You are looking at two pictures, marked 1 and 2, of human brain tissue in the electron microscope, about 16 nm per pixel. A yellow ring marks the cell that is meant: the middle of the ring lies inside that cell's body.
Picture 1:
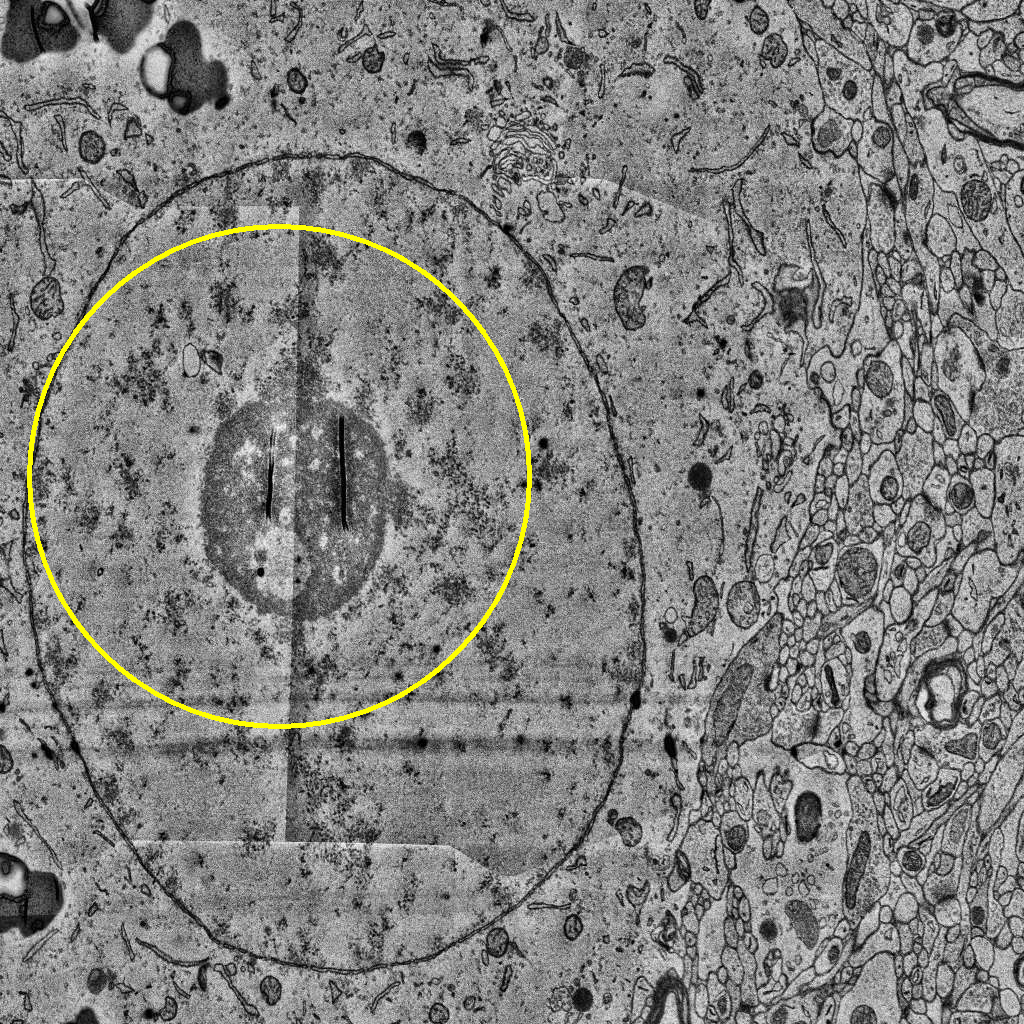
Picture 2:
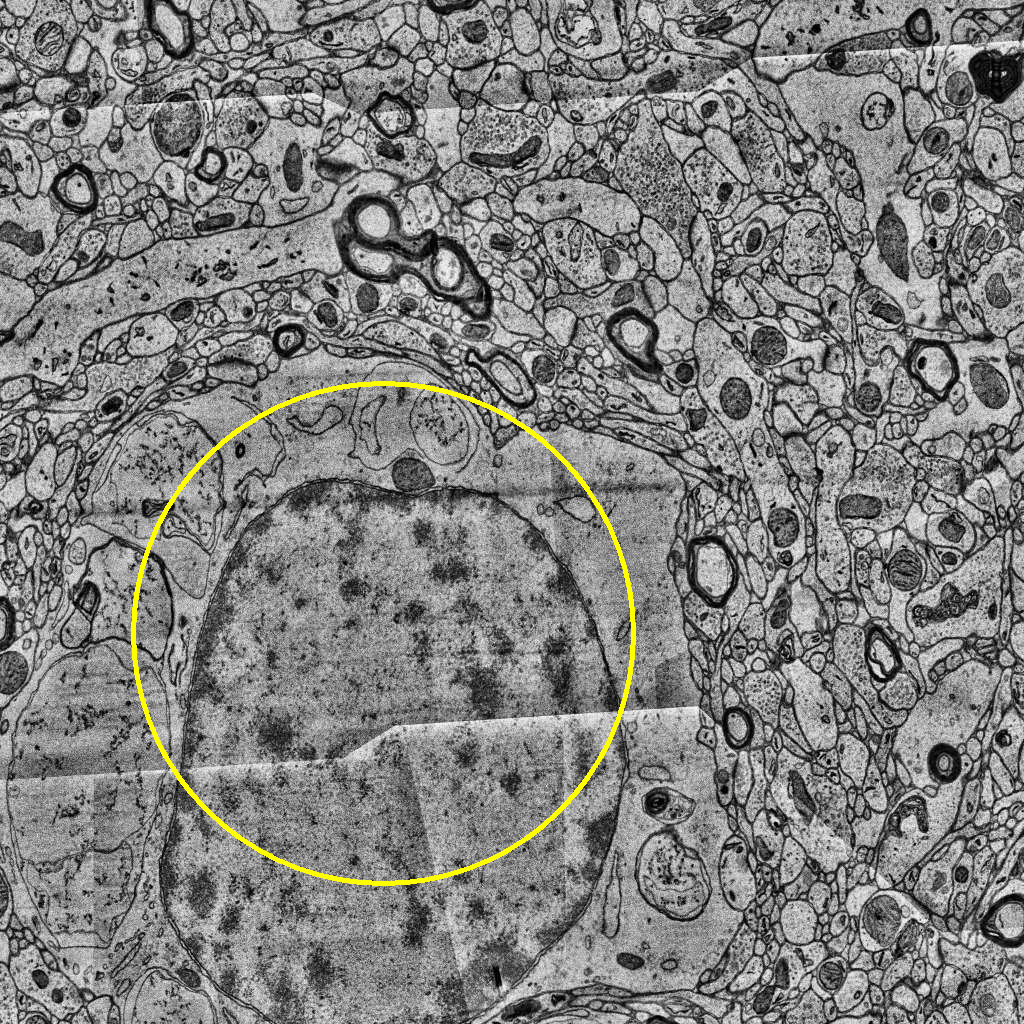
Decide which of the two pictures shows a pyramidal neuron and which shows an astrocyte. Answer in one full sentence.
The cell in picture 1 is a pyramidal neuron, and the one in picture 2 is an astrocyte.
